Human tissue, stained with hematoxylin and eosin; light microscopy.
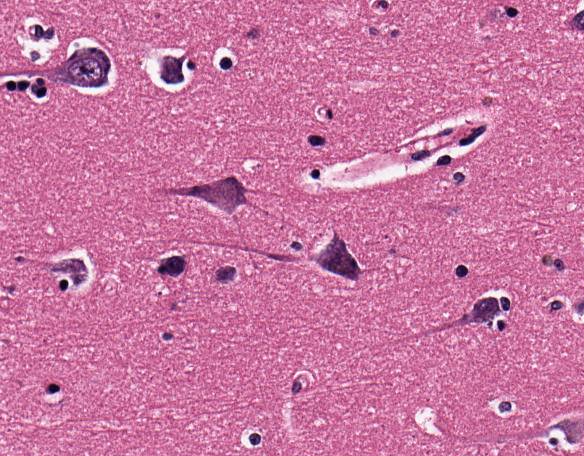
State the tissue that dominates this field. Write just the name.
cerebral cortex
